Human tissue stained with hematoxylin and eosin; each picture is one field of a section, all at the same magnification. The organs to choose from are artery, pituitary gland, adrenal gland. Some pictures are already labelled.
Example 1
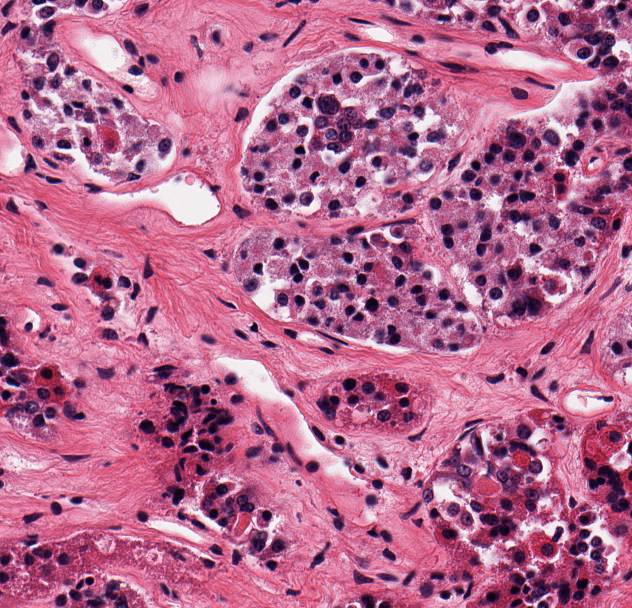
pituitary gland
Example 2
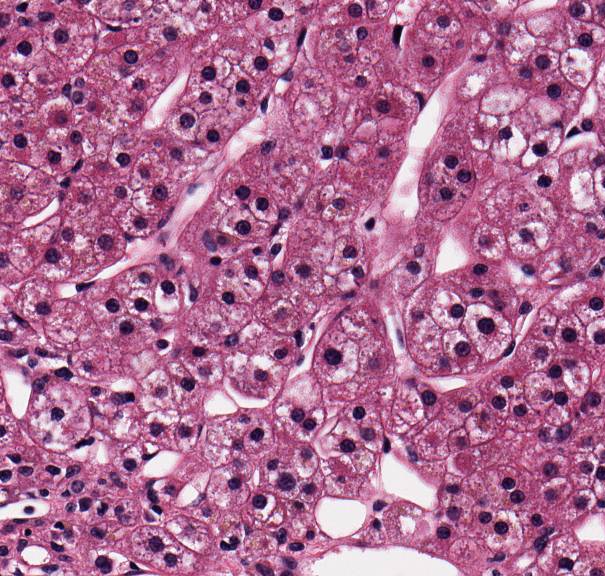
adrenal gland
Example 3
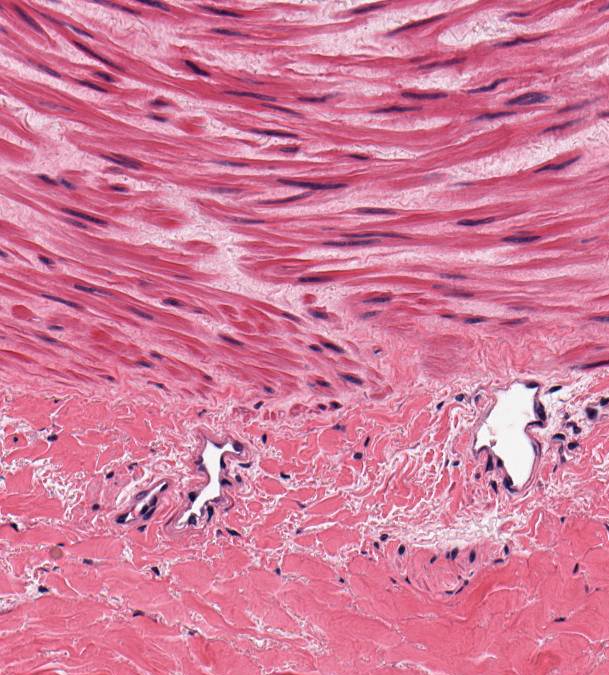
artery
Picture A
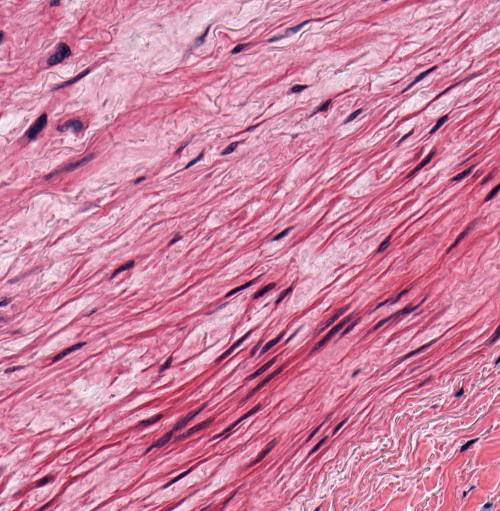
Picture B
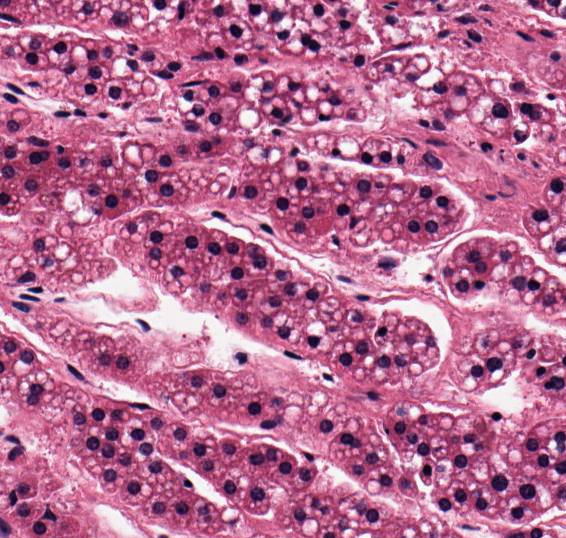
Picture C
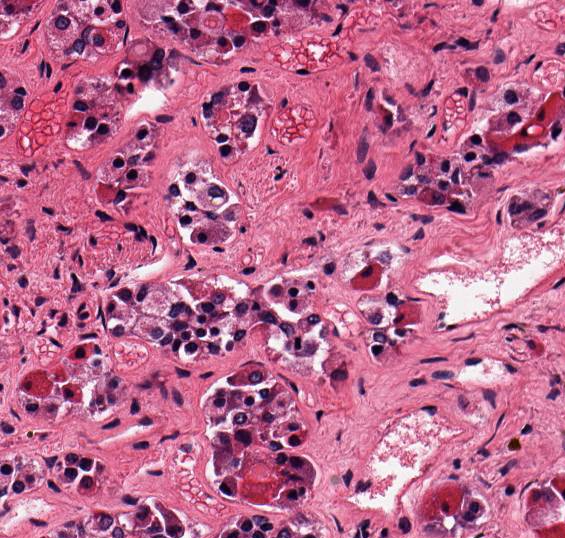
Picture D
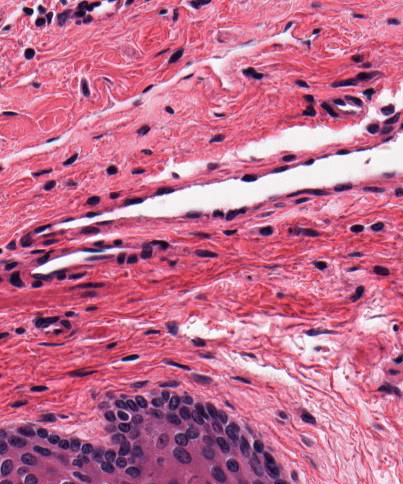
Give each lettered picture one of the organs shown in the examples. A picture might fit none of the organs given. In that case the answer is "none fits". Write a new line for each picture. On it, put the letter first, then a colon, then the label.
A: artery
B: adrenal gland
C: pituitary gland
D: none fits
